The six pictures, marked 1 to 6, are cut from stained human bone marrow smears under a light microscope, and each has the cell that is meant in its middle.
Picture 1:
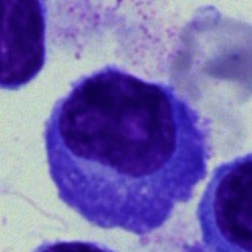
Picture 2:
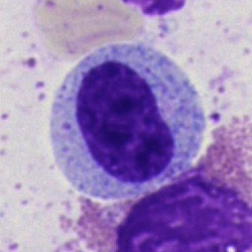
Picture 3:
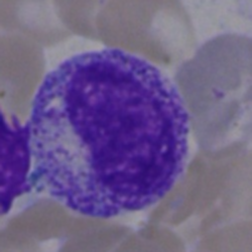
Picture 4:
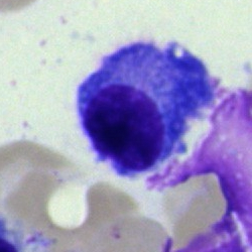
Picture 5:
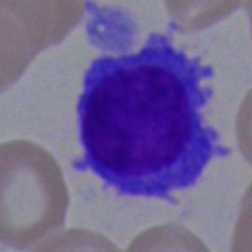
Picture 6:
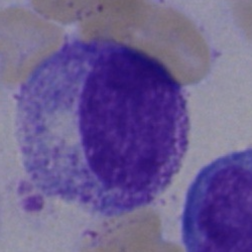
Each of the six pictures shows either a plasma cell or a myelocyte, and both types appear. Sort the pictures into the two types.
1: plasma cell
2: myelocyte
3: myelocyte
4: plasma cell
5: plasma cell
6: myelocyte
